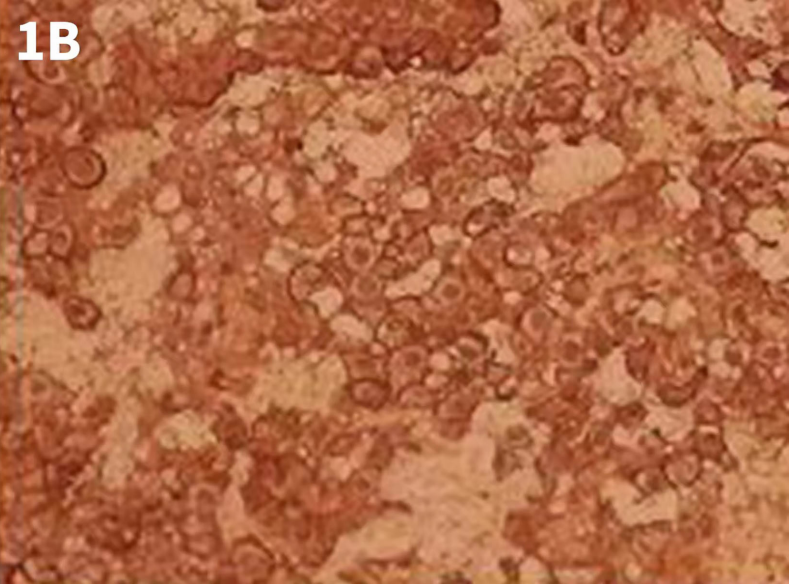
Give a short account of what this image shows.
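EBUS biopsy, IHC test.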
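Sheets of tumor cells are stained brown throughout most of the field. The brown colour outlines individual rounded cells and fills their cytoplasm, giving a ring-like appearance to many of them. Paler areas between the cell groups are unstained or only faintly coloured. The cells are closely packed and of similar rounded form.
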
